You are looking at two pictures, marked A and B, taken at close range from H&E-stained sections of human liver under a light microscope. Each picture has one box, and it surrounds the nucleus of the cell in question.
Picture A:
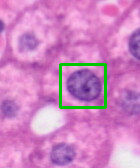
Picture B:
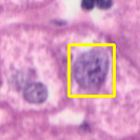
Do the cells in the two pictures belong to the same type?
yes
